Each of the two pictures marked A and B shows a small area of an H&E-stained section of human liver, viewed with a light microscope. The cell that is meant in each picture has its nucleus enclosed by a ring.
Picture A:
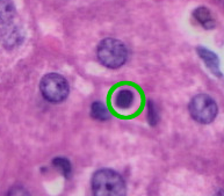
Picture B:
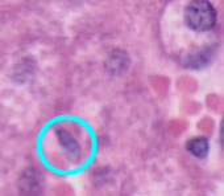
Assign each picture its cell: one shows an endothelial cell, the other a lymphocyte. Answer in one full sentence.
It is picture A that shows a lymphocyte, and picture B that shows an endothelial cell.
